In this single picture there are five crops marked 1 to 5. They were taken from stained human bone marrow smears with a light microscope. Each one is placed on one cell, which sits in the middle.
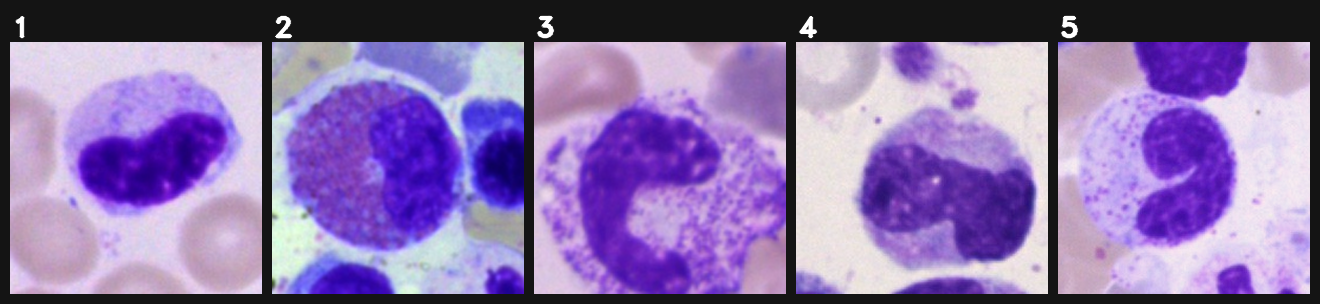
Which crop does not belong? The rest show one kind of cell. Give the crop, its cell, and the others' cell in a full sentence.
In this set the other crops all show band neutrophils, and crop 2 shows an eosinophil.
